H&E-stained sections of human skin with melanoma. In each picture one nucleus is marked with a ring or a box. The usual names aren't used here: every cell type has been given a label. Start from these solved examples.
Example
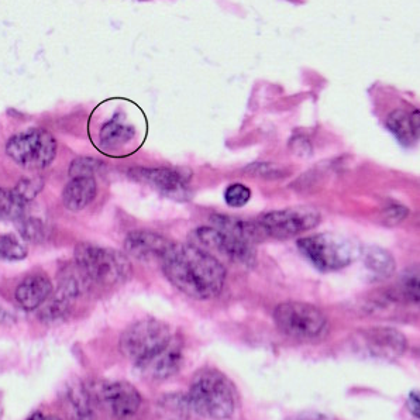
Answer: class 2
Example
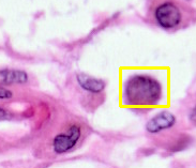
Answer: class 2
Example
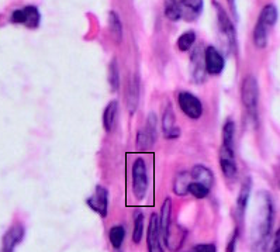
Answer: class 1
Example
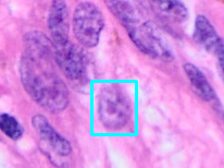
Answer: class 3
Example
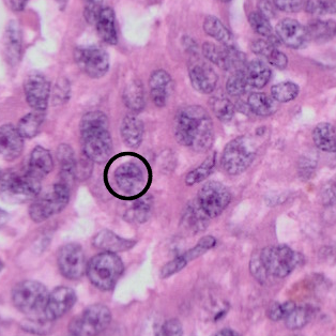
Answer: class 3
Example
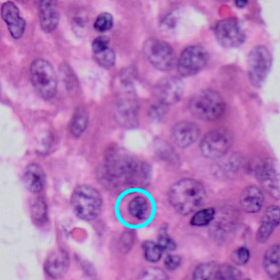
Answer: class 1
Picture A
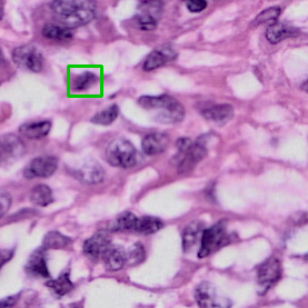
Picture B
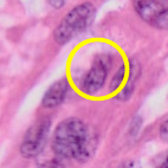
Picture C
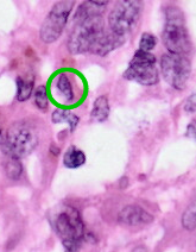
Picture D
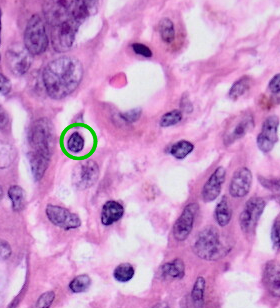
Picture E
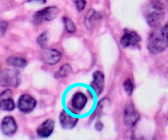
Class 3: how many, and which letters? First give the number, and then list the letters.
1, namely B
